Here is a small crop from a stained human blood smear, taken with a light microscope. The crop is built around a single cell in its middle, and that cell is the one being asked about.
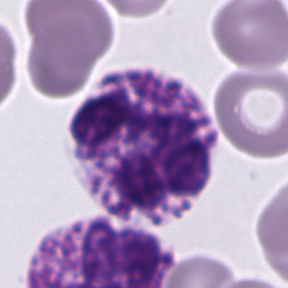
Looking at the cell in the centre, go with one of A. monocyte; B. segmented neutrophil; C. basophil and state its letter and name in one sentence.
The middle cell of the crop is a basophil; accordingly, option C is correct.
